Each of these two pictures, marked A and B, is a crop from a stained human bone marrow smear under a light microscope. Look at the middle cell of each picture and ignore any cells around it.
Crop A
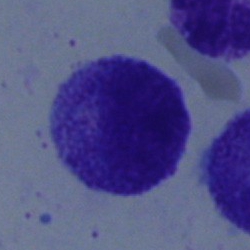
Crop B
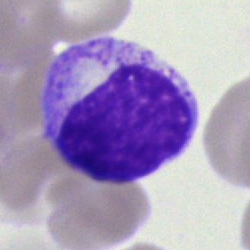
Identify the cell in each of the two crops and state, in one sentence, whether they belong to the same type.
Yes, both crops in the pair show myelocytes.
